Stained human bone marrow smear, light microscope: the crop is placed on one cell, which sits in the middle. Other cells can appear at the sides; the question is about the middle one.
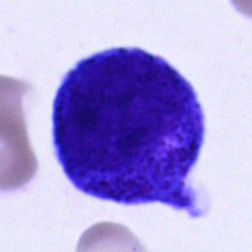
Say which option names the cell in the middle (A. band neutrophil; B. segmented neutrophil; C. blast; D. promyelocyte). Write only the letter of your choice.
D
